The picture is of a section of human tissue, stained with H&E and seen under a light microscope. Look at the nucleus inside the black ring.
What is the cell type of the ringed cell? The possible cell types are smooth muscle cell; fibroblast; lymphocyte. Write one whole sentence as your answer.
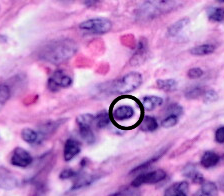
In this tissue sample, the ringed cell is a lymphocyte.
